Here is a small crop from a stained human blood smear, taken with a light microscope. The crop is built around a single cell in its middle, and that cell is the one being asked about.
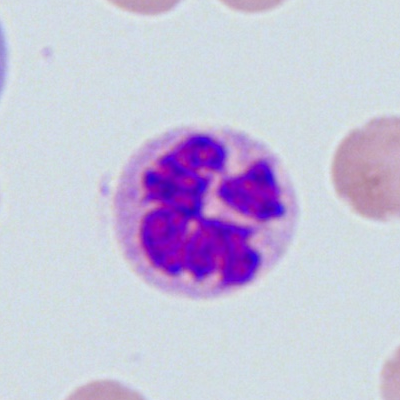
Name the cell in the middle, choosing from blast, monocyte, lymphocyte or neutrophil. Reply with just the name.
neutrophil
